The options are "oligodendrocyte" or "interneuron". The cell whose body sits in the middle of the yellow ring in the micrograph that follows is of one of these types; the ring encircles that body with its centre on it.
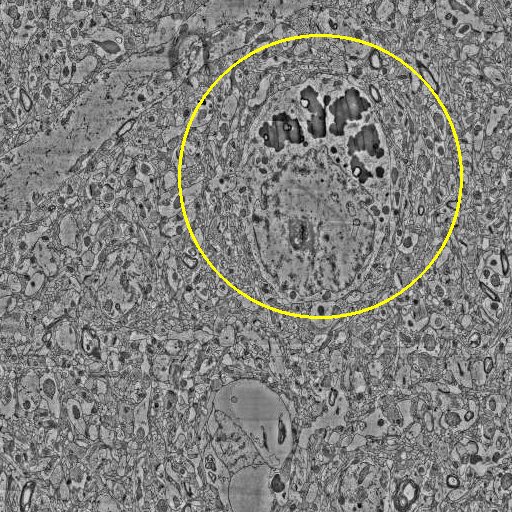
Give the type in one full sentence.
Going by the micrograph, the cell centred in the yellow ring is an interneuron.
